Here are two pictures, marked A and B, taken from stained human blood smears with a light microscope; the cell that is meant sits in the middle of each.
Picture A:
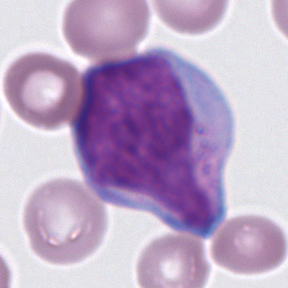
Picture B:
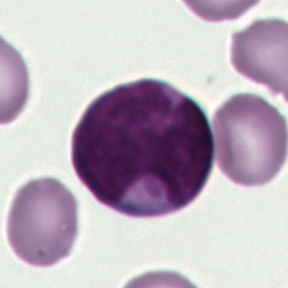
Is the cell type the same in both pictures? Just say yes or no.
no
